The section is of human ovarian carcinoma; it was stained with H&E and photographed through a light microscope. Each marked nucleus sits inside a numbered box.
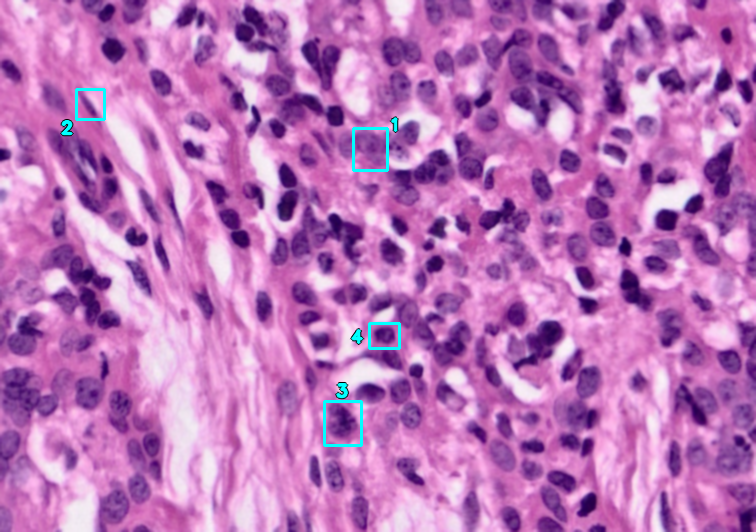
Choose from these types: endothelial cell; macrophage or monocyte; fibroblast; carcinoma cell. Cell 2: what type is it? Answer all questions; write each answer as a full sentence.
The cell assigned the number 2 is a fibroblast.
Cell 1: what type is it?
Cell 1 of the marked set is a carcinoma cell.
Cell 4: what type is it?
Nucleus 4 in this section belongs to a carcinoma cell.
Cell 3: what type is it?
The cell identified by the number 3 is a carcinoma cell.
